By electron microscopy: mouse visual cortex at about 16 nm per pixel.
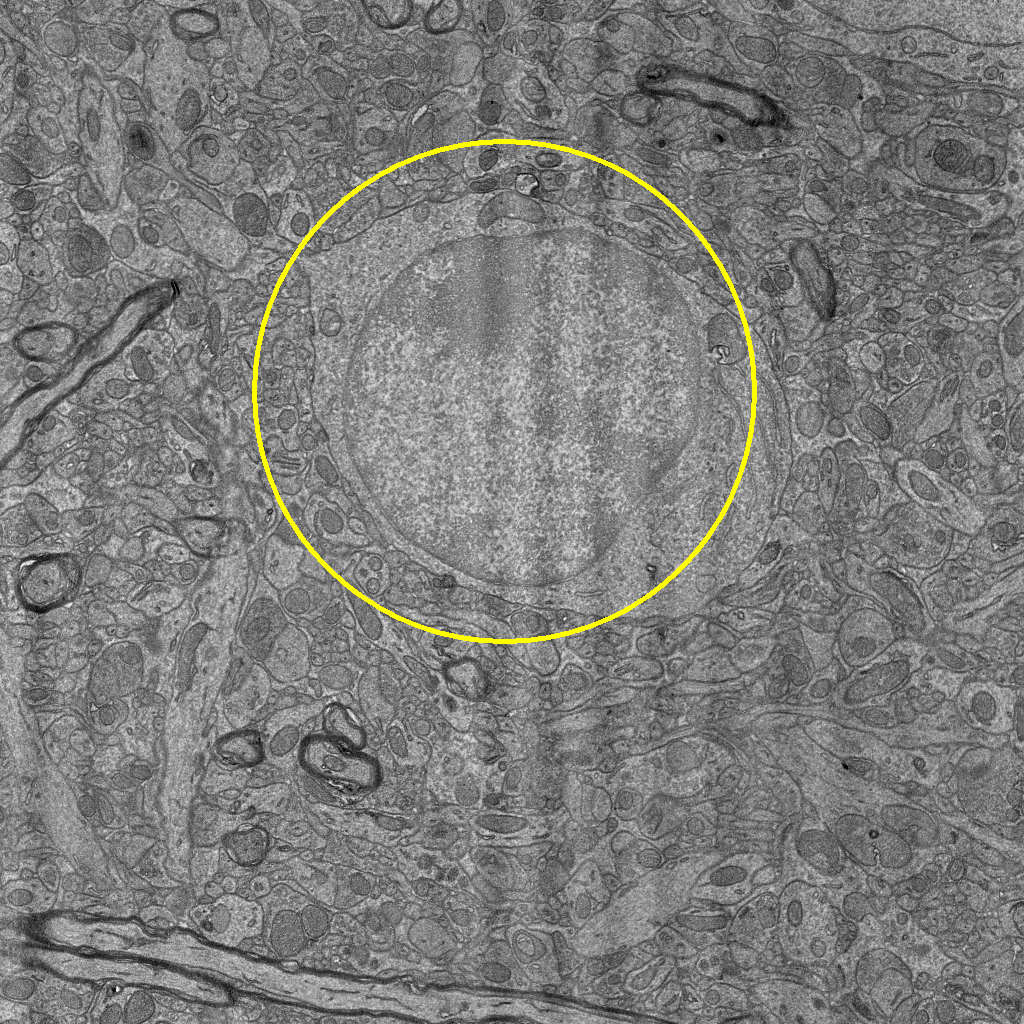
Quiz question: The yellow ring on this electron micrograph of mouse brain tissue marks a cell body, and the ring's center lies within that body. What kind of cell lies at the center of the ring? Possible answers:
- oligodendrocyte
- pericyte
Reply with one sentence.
The ring's center lies on an oligodendrocyte.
